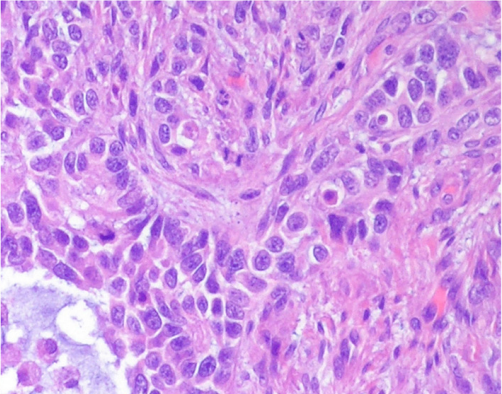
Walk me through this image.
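Tumor tissue made of oval to spindle-shaped tumor cells, arranged in closely packed sheets. The nuclei are large, oval and vesicular, with fine chromatin and some visible nucleoli. The cytoplasm is pink to pale and in places shows clear vacuoles. Between the groups of cells run pink bands of elongated, spindle-shaped cells forming fibrous bundles. At the lower left edge a pale, lumen-like space with loose contents borders the cells.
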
